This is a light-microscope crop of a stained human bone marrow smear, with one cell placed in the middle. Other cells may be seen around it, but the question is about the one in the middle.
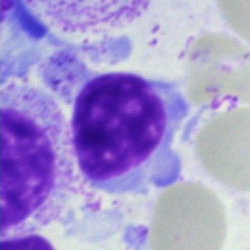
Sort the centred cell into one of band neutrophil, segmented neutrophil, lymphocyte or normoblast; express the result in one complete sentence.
The identification for the central cell is a lymphocyte.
